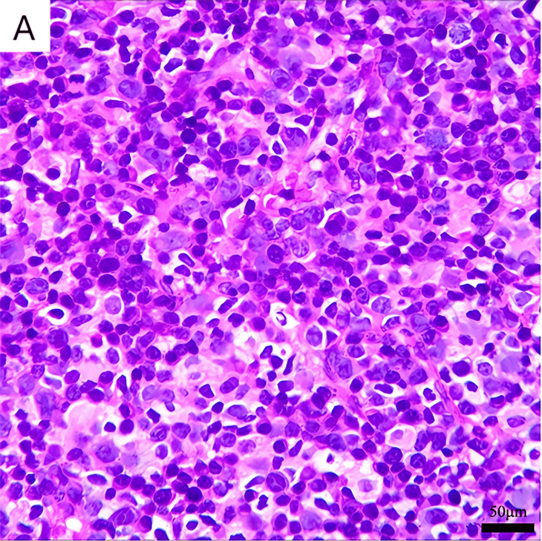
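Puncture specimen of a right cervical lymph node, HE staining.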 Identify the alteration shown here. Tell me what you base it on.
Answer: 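Diffuse proliferation of tumor cells. Densely packed cells fill the whole field in sheets. No normal lymph node architecture such as follicles is visible. Many cells have enlarged nuclei with open chromatin and visible nucleoli, mixed with smaller dark nuclei.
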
